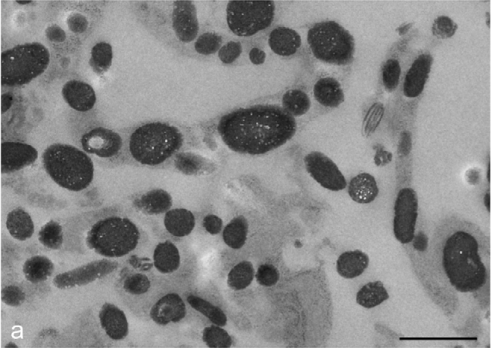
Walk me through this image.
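The melanosomes are the very dark, electron-dense bodies scattered throughout the field. They vary in shape: many are round, while others are clearly elongated, appearing as ovals or short rods, and a few show a faintly striated or speckled interior. They lie in a paler, finely granular cytoplasm, and between groups of them the lighter, empty-looking background marks spaces outside the cell profiles. The mix of round and rod-like profiles is the feature to notice here.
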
